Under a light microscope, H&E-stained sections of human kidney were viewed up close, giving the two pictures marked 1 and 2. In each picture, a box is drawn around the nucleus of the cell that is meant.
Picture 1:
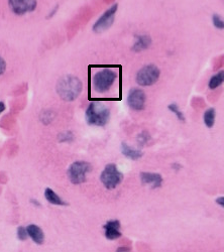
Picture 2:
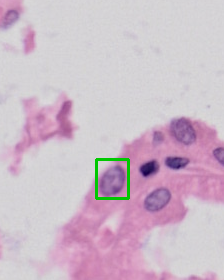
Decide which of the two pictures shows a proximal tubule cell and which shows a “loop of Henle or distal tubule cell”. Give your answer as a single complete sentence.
In picture 1 the cell is a “loop of Henle or distal tubule cell”; in picture 2, a proximal tubule cell.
